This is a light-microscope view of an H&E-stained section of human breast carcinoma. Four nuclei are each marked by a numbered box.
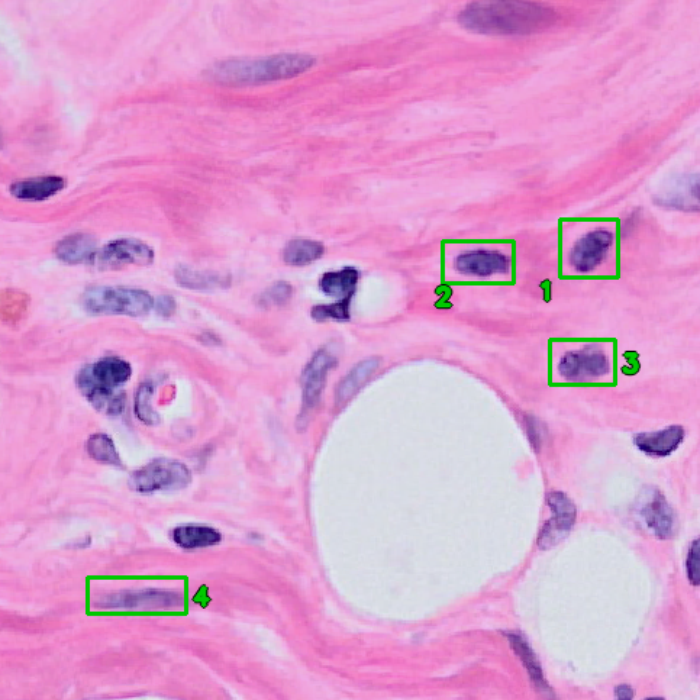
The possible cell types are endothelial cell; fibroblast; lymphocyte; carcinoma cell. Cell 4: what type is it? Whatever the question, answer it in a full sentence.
Number 4 among the marked cells is a fibroblast.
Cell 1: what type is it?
The correct answer for cell 1 is a lymphocyte.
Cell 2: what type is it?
Cell 2, as marked in the section, is a lymphocyte.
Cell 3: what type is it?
The cell identified by number 3 is a lymphocyte.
